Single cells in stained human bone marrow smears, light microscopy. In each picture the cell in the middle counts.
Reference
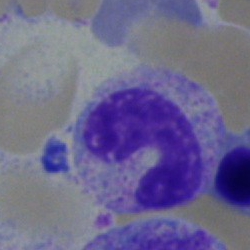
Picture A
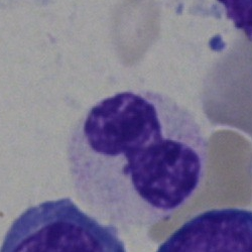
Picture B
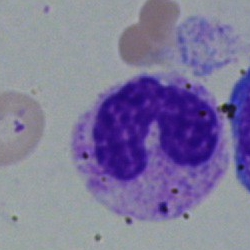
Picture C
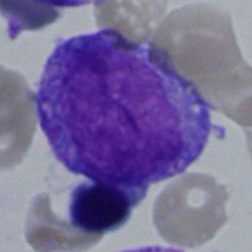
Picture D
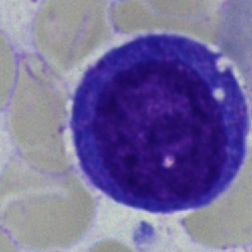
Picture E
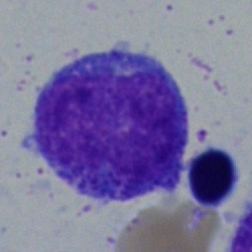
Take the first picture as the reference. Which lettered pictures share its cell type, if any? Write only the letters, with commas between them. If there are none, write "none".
A, B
